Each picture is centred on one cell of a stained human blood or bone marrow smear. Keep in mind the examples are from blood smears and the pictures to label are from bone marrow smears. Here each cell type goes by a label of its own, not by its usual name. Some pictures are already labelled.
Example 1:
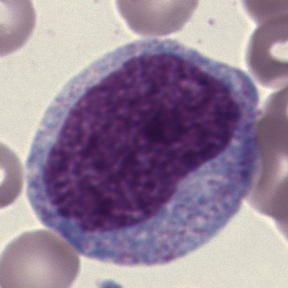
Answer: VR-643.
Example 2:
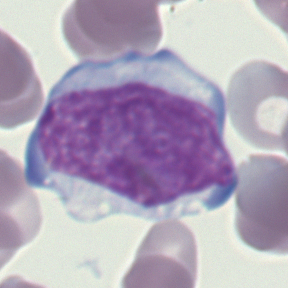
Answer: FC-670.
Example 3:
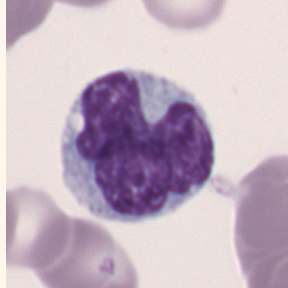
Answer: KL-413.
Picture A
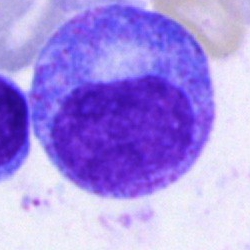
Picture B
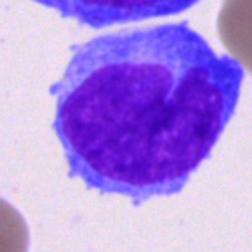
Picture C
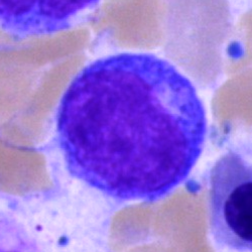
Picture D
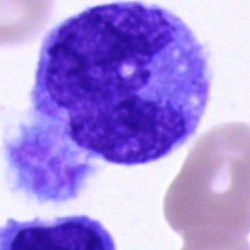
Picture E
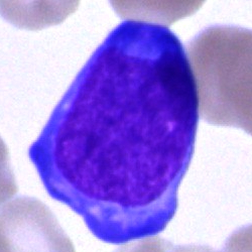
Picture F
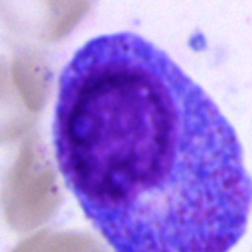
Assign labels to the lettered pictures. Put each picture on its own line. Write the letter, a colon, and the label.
A: VR-643.
B: FC-670.
C: FC-670.
D: KL-413.
E: FC-670.
F: VR-643.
